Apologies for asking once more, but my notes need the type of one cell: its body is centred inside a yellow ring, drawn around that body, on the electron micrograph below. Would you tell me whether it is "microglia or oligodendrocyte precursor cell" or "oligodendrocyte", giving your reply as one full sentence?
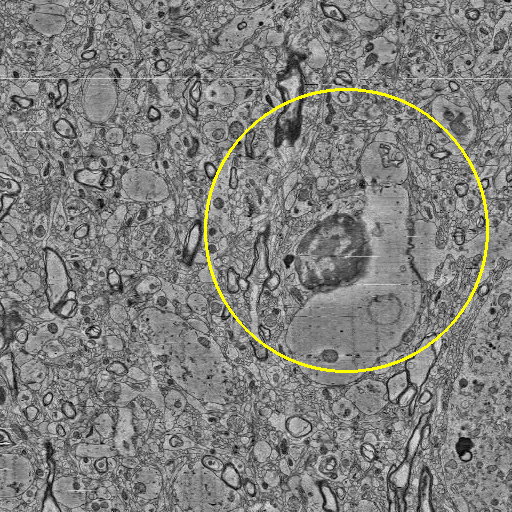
The cell that the yellow ring is centred on is a microglial cell or oligodendrocyte precursor cell in this micrograph.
